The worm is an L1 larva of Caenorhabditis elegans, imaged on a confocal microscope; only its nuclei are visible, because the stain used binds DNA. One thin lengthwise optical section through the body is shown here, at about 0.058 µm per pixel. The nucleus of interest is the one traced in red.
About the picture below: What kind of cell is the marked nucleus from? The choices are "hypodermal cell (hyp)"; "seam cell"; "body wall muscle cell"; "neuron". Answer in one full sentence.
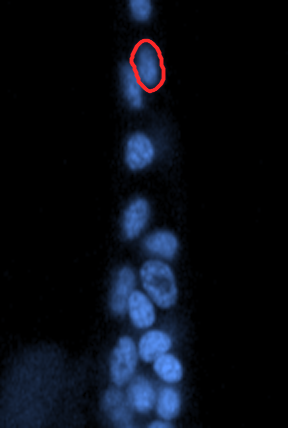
The marked nucleus is that of a hypodermal cell (hyp).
